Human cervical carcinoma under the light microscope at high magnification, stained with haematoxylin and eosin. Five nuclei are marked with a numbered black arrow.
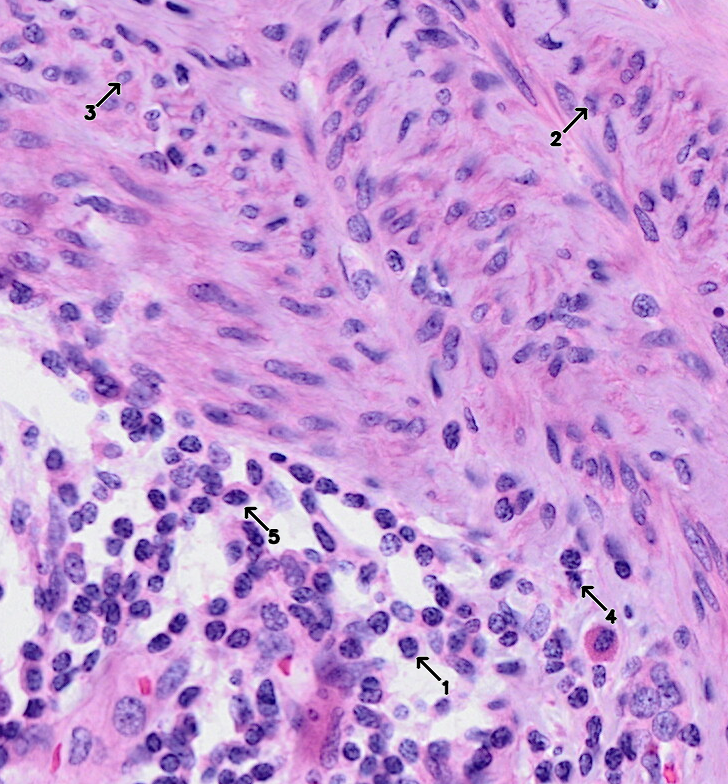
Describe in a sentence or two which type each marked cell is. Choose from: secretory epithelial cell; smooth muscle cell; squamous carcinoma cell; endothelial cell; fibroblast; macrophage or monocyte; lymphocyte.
Cell 1 is a lymphocyte, cell 2 is a smooth muscle cell, cell 3 is a smooth muscle cell, cell 4 is a lymphocyte and cell 5 is a lymphocyte.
